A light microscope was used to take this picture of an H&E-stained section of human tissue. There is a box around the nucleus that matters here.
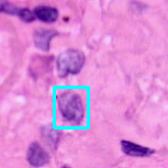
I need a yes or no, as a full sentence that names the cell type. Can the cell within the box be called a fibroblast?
Yes, calling the cell within the box a fibroblast is correct.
